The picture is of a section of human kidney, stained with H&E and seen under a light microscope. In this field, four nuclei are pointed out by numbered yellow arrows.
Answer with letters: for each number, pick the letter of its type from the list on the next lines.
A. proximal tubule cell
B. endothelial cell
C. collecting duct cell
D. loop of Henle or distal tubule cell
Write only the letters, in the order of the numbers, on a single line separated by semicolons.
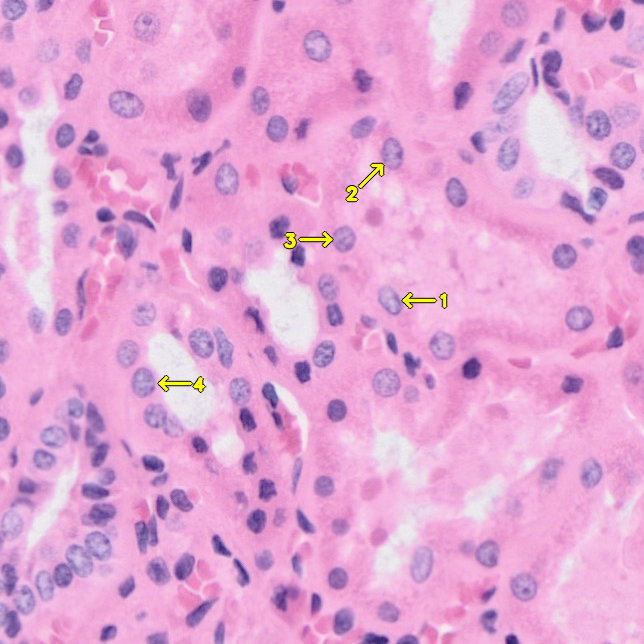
A; A; A; D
